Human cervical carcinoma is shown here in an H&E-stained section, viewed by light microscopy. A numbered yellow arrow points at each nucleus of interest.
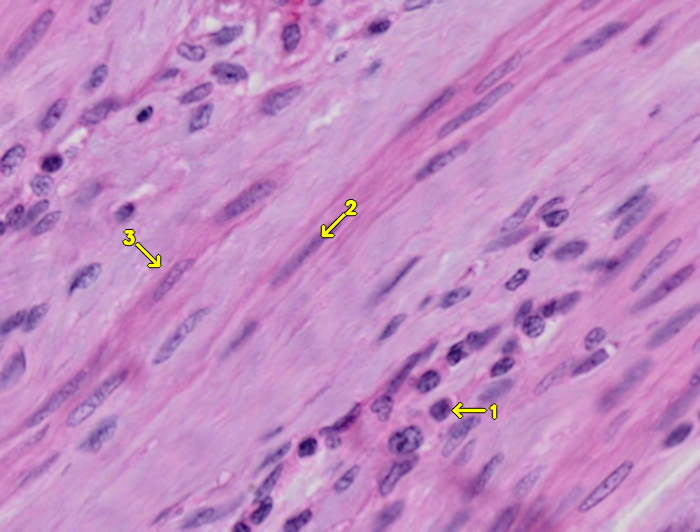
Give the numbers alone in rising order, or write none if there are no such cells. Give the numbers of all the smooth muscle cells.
2, 3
